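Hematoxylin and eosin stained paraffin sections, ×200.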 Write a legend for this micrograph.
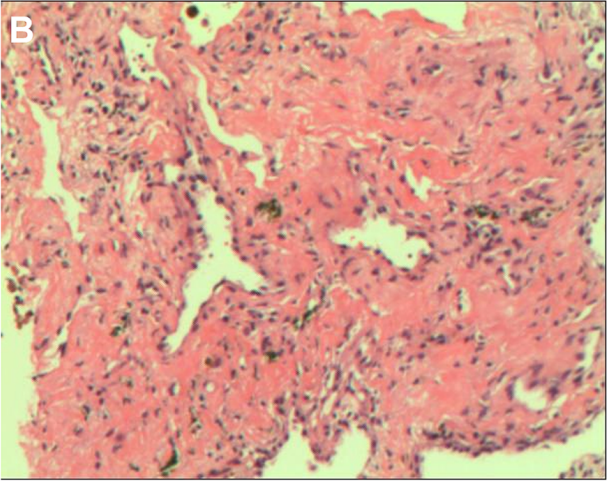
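Fibrotic interstitial tissue in which dense pink, wavy fibrillar matrix fills most of the field. Scattered within it lie many small dark-purple nuclei, mostly elongated and spindle-shaped, with some rounder ones among them. The matrix is arranged in irregular bands and sheets. Small clumps of dark brown-black granular pigment lie scattered in the tissue. Rounded inflammatory cells are few and do not form dense aggregates.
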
